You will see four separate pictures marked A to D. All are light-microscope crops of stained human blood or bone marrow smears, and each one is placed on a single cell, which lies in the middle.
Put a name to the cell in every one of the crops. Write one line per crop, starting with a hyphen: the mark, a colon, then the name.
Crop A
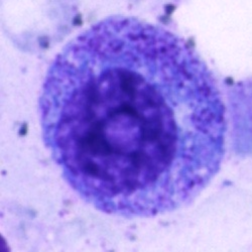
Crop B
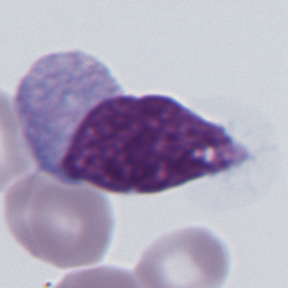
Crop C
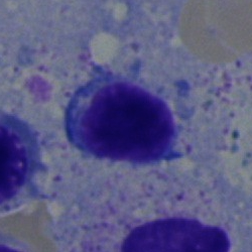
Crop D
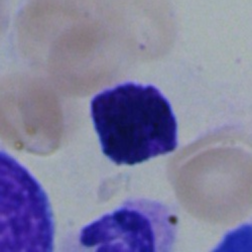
- A: promyelocyte
- B: monocyte
- C: lymphocyte
- D: lymphocyte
